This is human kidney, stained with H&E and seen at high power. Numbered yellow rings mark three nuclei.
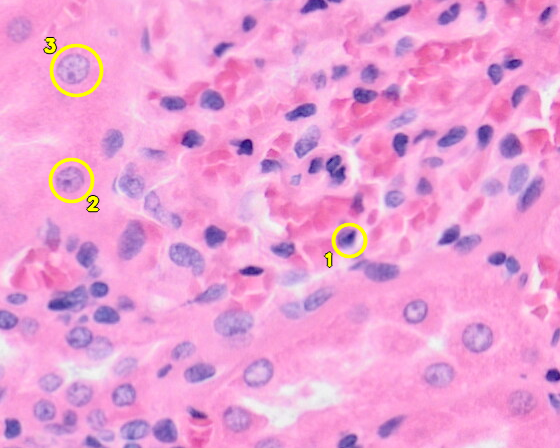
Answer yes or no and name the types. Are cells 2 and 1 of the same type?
No, cell 2 is a proximal tubule cell and cell 1 is an endothelial cell.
